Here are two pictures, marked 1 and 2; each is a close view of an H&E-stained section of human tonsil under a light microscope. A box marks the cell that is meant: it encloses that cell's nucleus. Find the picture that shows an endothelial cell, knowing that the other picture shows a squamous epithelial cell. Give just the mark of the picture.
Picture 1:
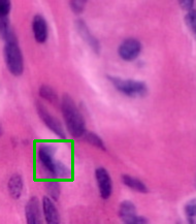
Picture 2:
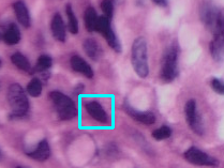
1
